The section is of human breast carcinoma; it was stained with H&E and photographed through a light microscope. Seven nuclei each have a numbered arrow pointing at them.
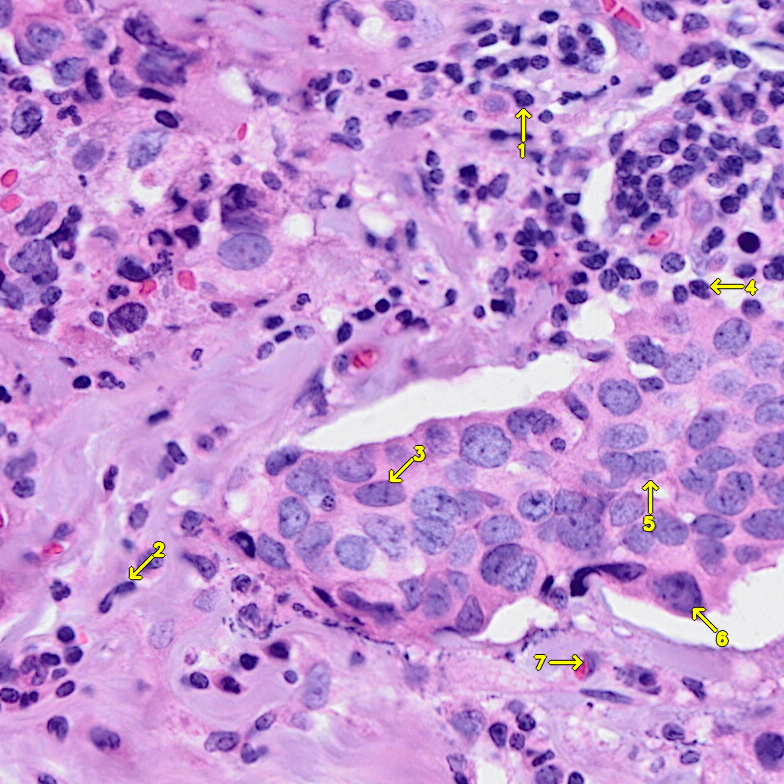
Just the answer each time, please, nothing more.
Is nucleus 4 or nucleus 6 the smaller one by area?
4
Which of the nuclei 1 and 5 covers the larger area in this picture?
5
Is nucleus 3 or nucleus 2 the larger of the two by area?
3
